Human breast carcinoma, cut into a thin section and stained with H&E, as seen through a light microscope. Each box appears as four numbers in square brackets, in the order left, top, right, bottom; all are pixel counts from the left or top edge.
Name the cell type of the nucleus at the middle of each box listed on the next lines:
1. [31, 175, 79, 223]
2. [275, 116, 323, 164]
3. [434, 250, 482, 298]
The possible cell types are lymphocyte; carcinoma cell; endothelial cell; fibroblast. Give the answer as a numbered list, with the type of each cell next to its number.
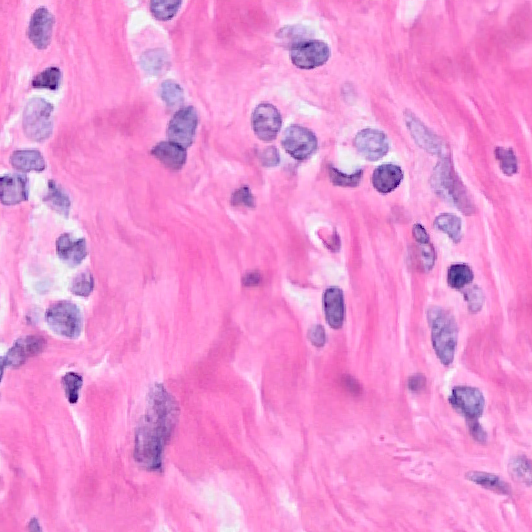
1. fibroblast
2. carcinoma cell
3. lymphocyte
